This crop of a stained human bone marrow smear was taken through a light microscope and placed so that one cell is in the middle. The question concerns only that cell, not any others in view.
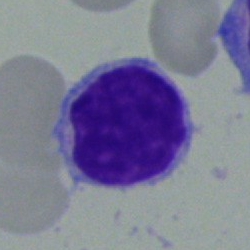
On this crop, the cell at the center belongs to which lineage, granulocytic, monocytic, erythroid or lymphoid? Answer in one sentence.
The centered cell is one of the lymphoid lineage.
